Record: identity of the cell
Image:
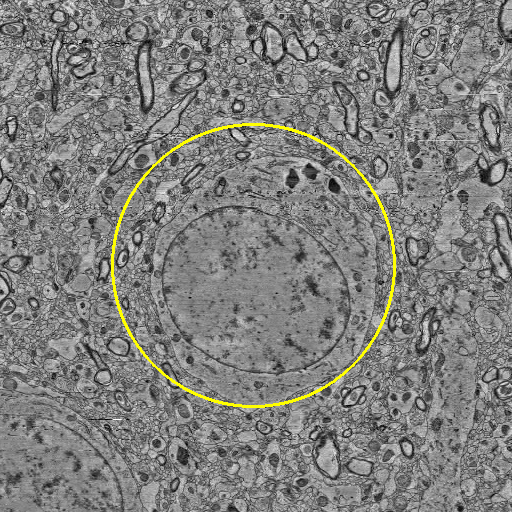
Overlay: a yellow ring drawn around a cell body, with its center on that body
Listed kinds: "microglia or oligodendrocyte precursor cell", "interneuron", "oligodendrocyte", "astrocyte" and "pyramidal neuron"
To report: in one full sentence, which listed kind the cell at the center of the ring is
In the image, the cell body at the ring's center belongs to a pyramidal neuron.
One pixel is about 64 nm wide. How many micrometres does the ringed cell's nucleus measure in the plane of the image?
The ringed cell's nucleus measures approximately 13 by 10 micrometres in this plane.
